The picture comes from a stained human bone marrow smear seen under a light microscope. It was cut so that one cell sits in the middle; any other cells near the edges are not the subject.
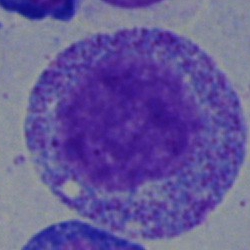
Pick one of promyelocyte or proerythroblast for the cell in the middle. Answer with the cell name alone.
promyelocyte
